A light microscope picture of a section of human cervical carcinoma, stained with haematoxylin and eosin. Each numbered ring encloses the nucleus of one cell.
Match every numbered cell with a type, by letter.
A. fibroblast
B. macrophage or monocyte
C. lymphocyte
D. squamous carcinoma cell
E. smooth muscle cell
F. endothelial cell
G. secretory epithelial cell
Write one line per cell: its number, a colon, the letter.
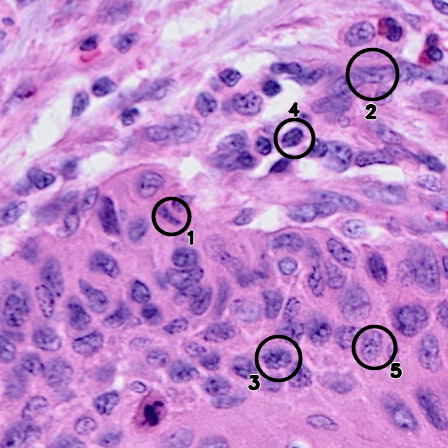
1: D
2: F
3: D
4: C
5: D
